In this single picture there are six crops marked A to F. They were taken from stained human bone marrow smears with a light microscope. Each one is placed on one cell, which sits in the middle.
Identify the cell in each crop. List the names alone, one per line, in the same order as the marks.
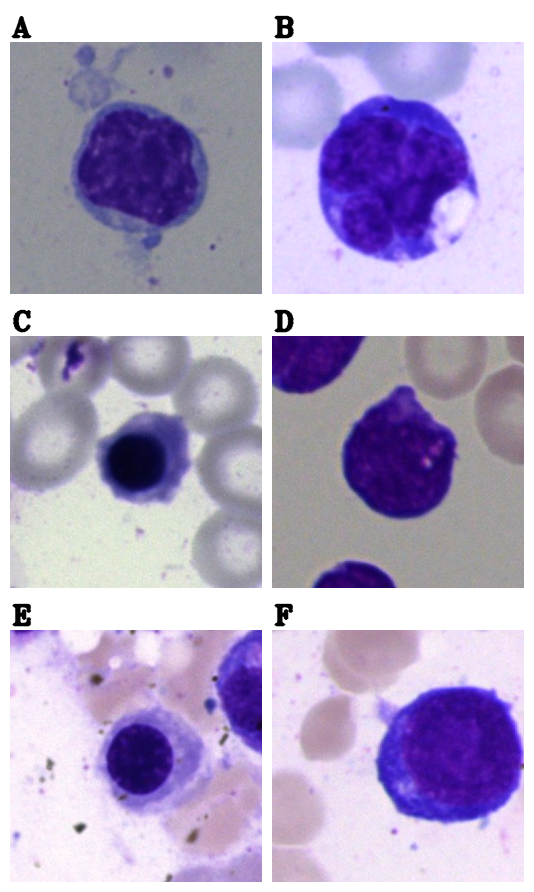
lymphocyte
blast
erythroblast
blast
erythroblast
erythroblast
